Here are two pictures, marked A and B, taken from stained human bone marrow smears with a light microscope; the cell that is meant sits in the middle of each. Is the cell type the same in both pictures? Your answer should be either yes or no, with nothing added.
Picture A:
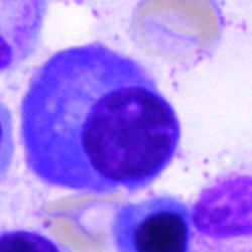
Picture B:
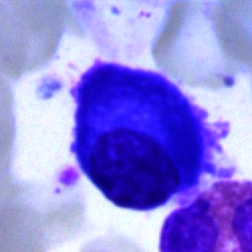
yes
